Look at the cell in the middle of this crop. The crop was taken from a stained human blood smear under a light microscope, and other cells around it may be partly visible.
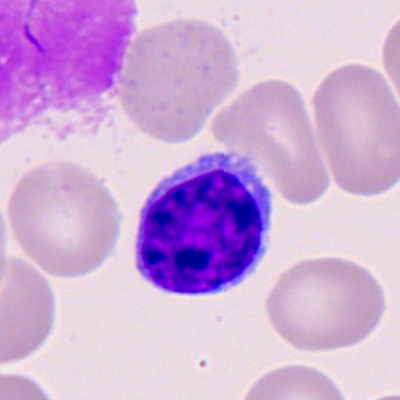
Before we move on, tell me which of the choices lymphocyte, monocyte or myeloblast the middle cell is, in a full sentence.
By classification, the middle cell of this crop is a lymphocyte.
